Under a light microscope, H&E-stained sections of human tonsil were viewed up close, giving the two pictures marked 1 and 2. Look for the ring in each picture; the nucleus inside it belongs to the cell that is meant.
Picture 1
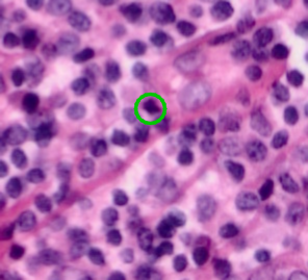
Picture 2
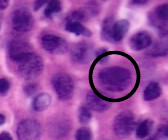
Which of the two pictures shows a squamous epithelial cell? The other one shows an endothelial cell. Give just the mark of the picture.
2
